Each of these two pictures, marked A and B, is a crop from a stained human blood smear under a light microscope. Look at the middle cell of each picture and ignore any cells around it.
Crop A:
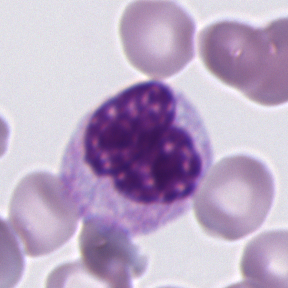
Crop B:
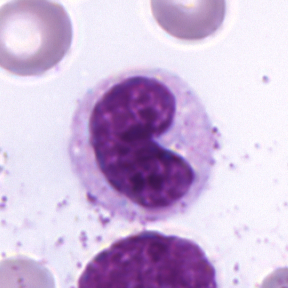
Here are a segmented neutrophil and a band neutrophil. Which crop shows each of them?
A: segmented neutrophil
B: band neutrophil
